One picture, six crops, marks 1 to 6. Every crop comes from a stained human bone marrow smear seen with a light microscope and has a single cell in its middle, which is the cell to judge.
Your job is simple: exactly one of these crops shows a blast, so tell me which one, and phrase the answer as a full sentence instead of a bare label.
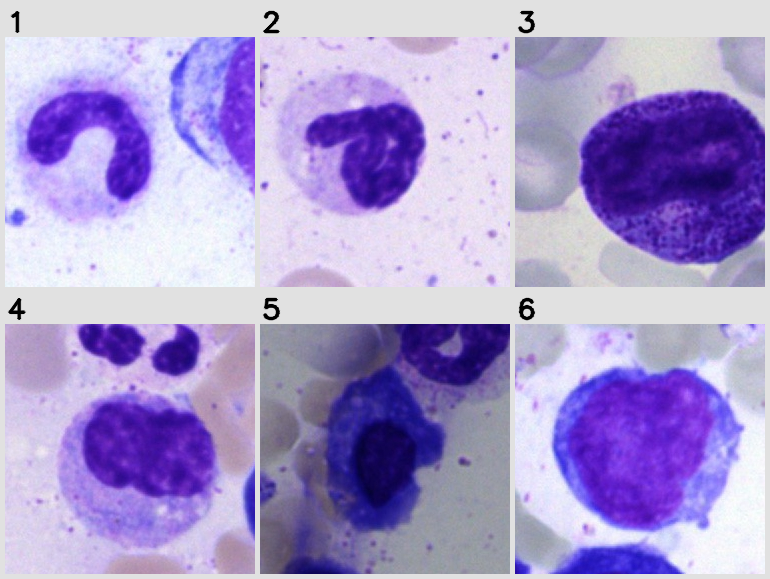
Crop 6 is the one that shows a blast.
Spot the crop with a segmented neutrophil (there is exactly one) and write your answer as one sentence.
Here the crop that shows a segmented neutrophil is crop 2.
